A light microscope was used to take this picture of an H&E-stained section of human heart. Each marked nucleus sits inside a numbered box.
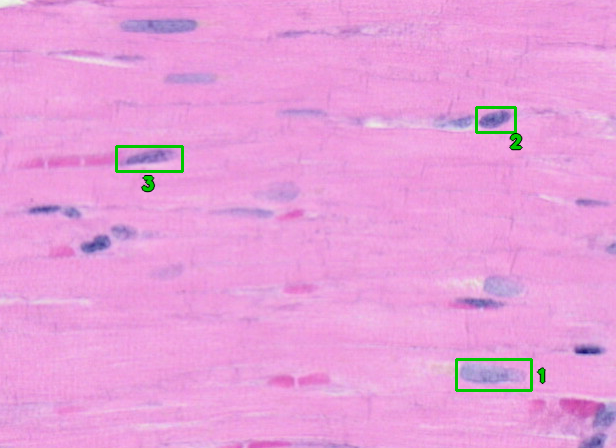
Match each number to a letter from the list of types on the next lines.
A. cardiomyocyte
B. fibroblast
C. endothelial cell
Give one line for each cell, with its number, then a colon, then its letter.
1: A
2: B
3: C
